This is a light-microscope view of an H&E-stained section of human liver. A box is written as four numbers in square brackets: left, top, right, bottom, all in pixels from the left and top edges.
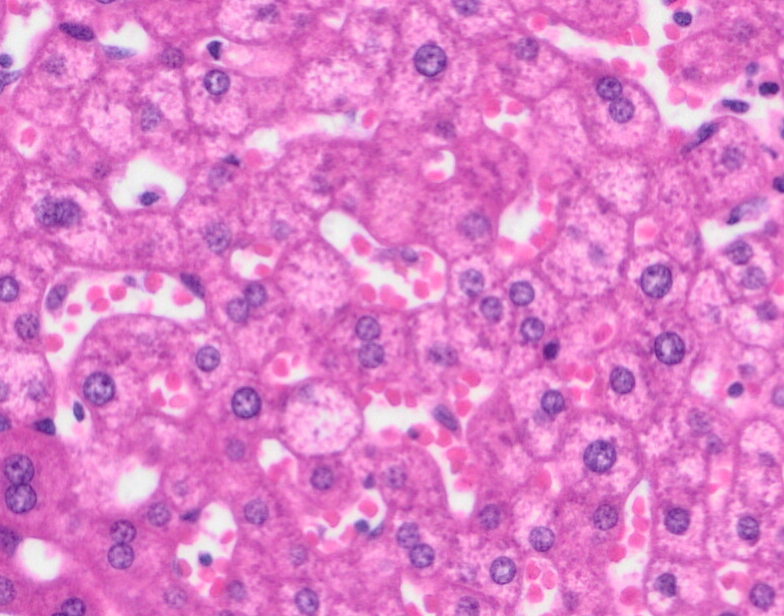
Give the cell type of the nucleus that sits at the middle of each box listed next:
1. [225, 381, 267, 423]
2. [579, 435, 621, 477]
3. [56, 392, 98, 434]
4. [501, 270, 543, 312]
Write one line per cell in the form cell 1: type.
cell 1: hepatocyte
cell 2: hepatocyte
cell 3: lymphocyte
cell 4: hepatocyte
